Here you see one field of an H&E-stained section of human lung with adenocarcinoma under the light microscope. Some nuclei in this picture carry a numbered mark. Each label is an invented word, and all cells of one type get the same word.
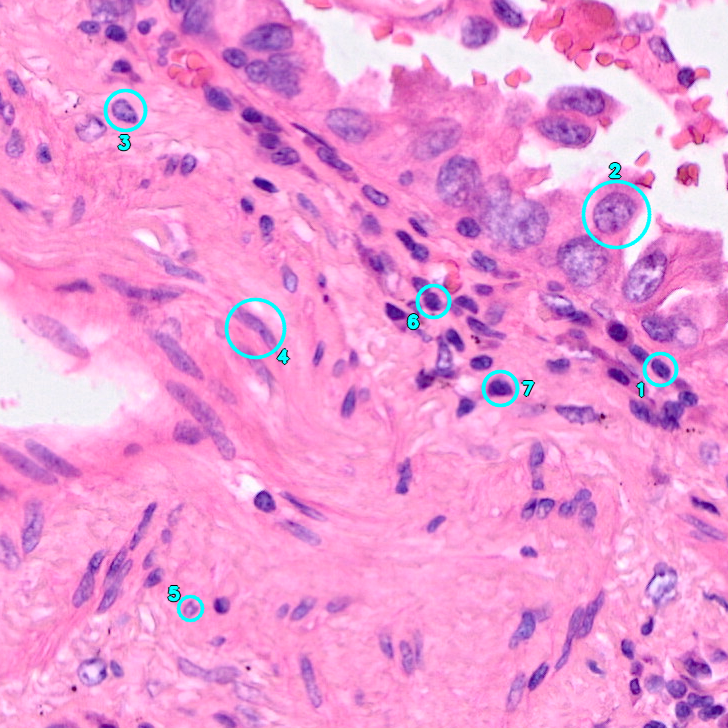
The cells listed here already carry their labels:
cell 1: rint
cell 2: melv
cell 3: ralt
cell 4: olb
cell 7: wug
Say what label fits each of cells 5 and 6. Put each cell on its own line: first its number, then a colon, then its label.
5: olb
6: rint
